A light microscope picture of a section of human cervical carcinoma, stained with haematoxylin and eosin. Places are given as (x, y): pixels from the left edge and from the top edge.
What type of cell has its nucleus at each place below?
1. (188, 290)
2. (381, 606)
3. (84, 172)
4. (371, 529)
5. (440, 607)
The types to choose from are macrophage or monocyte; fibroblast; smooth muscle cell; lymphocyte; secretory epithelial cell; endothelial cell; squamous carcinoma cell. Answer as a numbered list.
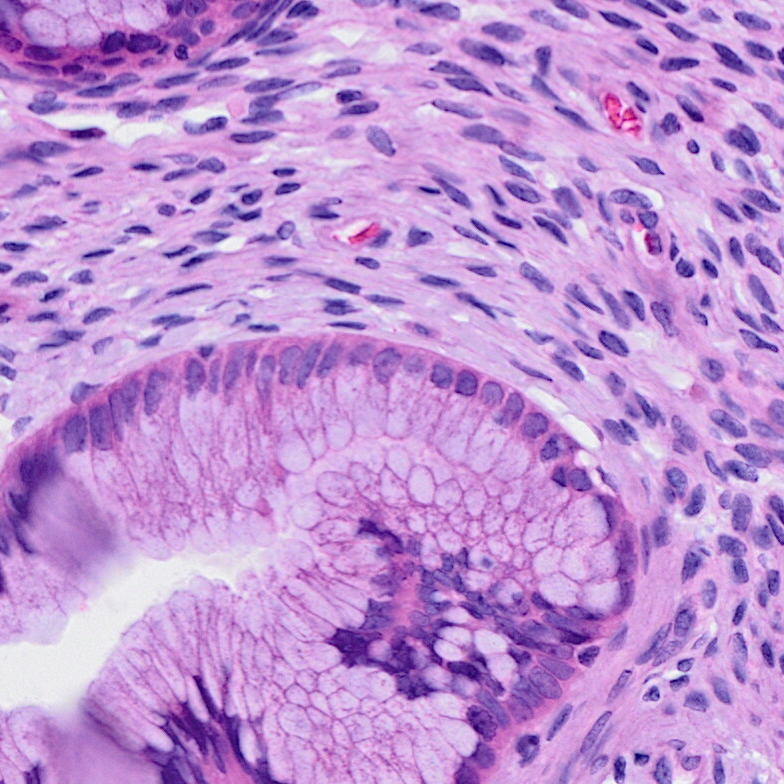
1. fibroblast
2. secretory epithelial cell
3. fibroblast
4. secretory epithelial cell
5. secretory epithelial cell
